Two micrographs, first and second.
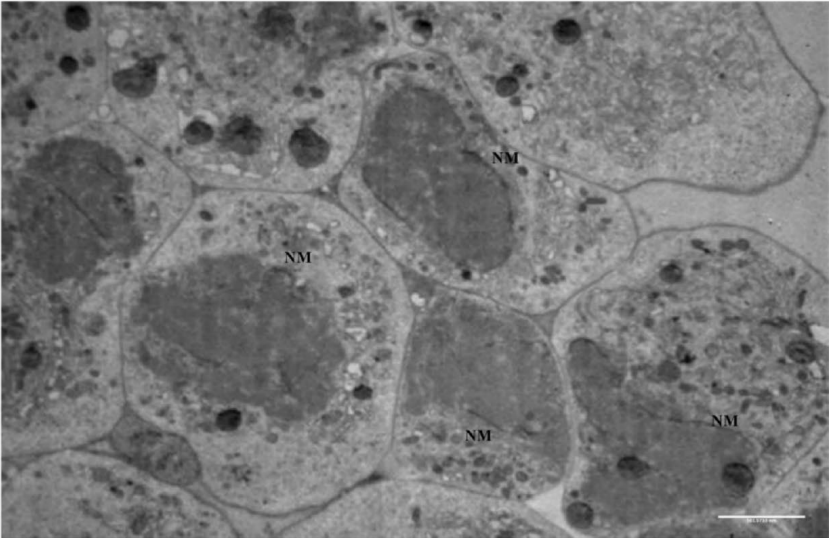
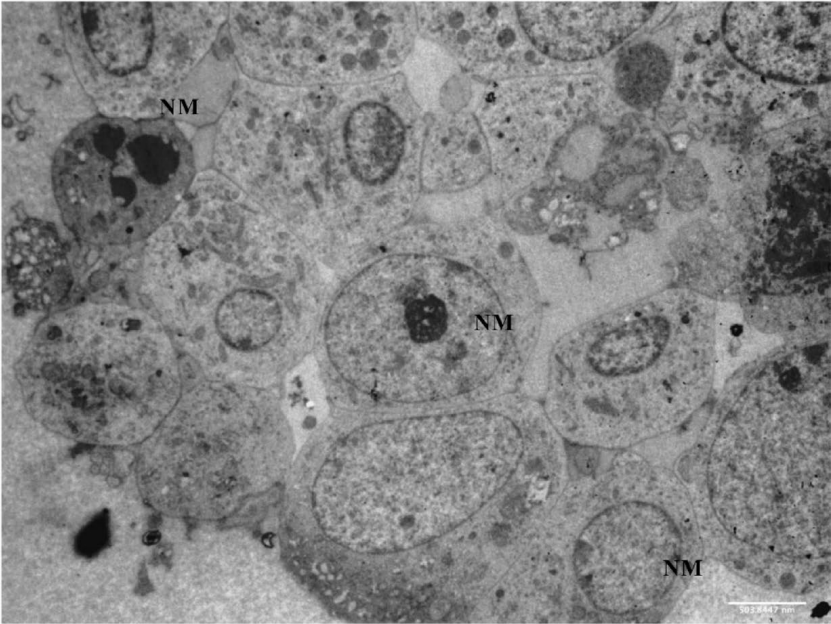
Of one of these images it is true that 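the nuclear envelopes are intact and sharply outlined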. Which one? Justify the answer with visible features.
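The second image. First image: the nuclei are uniformly dark and their borders with the cytoplasm are less crisp. Second image: the nuclei are pale with fine chromatin and bounded by a thin continuous membrane line.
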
